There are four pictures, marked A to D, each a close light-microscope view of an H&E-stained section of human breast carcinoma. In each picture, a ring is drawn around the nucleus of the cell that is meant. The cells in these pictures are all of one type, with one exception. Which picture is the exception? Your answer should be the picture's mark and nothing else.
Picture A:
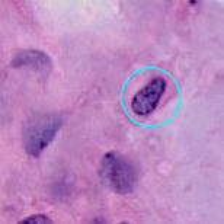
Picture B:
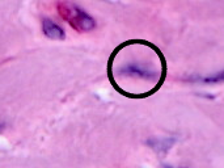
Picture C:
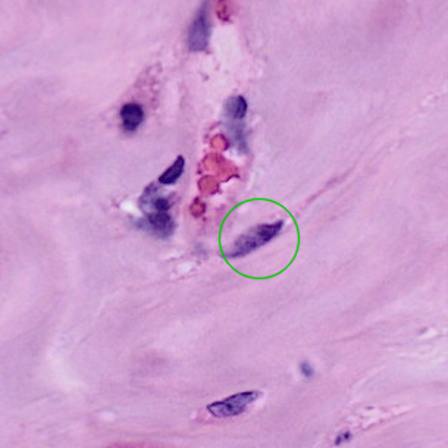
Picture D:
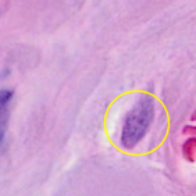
A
